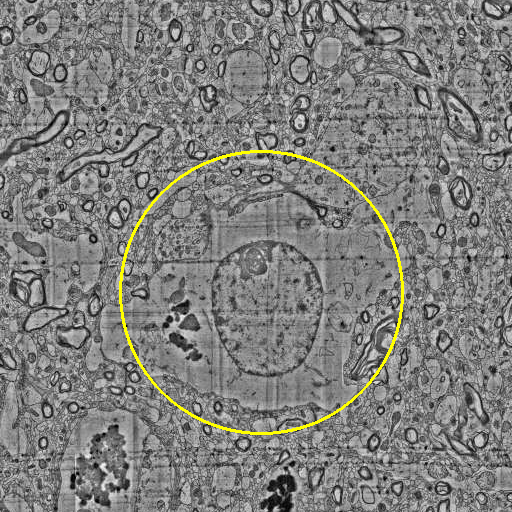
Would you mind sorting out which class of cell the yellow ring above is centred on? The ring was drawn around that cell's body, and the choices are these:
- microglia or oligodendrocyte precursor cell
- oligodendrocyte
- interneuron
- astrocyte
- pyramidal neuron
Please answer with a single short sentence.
This is the cell body of an astrocyte.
